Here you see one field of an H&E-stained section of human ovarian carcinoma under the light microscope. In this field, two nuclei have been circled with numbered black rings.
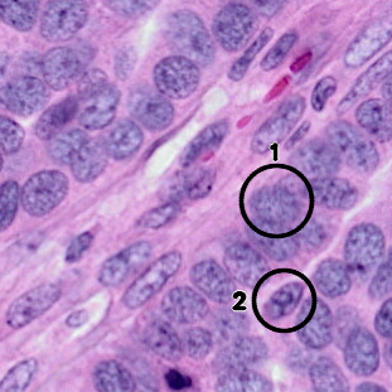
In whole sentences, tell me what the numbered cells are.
Cell 1 is a carcinoma cell and cell 2 is a macrophage or monocyte.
